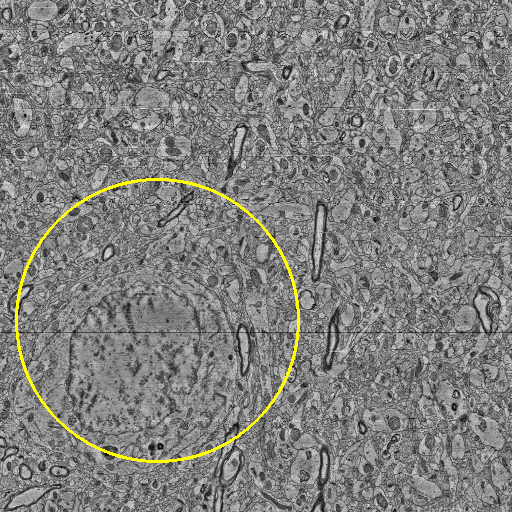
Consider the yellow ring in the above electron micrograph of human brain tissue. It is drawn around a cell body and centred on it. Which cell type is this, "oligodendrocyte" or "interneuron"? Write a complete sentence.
The cell in question is an interneuron.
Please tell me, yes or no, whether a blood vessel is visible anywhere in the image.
No.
